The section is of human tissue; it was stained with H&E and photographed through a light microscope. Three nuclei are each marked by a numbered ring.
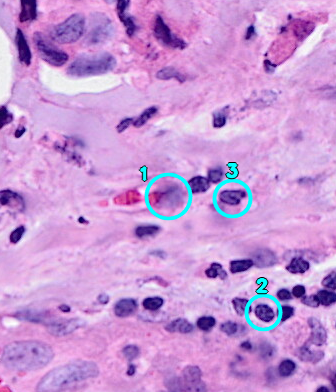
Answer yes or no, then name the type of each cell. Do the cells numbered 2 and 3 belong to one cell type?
Yes, cells 2 and 3 are both termed lymphocytes.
